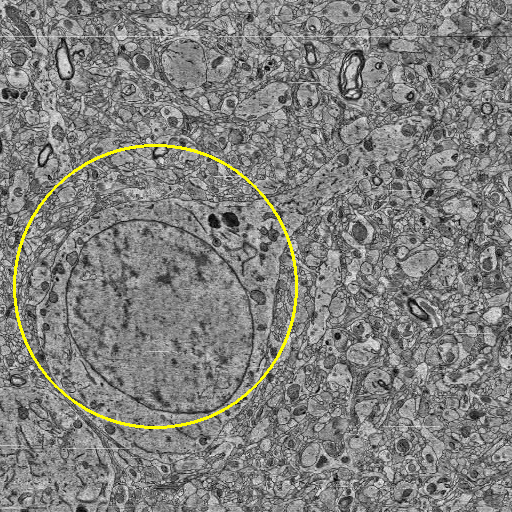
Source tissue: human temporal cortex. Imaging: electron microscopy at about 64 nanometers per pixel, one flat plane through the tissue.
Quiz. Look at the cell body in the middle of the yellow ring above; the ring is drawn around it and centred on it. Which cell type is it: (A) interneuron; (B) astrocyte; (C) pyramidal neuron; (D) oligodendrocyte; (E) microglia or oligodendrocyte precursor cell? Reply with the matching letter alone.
C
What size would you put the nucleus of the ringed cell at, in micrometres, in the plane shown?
The ringed cell's nucleus measures approximately 14 by 11 micrometres in this plane.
